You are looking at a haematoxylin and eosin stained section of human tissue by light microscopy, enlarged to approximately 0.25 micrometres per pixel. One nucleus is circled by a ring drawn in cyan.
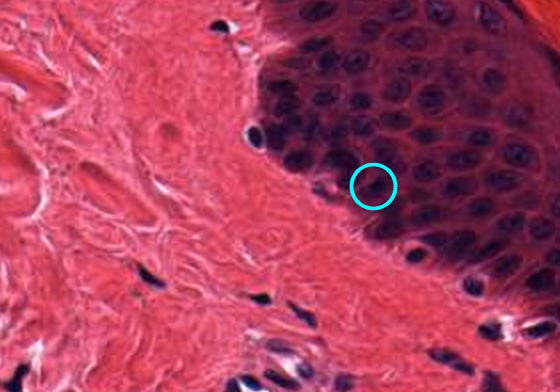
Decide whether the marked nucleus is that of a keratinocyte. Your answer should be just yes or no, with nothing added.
yes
